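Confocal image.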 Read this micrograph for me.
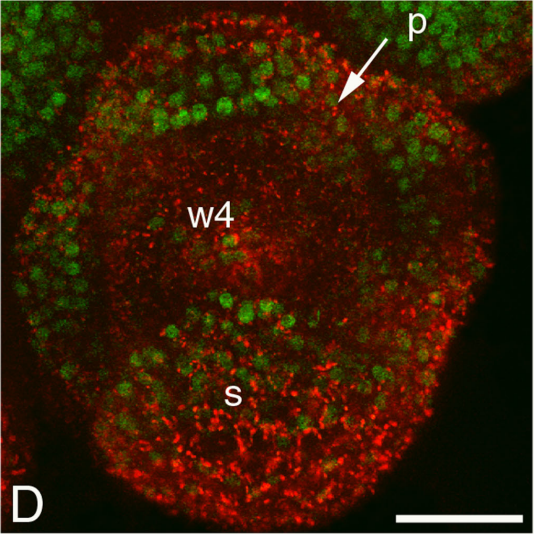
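Sepals curve around the rim of the bud; along their edges and tips the green nuclei form bright, regular rows. Between and inside the sepals the green is weaker, and the central region of the bud is mostly red with only scattered, dimmer green nuclei at its centre. Red speckles are densest toward the lower part of the bud. Part of a neighbouring bud with green nuclei appears at the upper left.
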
